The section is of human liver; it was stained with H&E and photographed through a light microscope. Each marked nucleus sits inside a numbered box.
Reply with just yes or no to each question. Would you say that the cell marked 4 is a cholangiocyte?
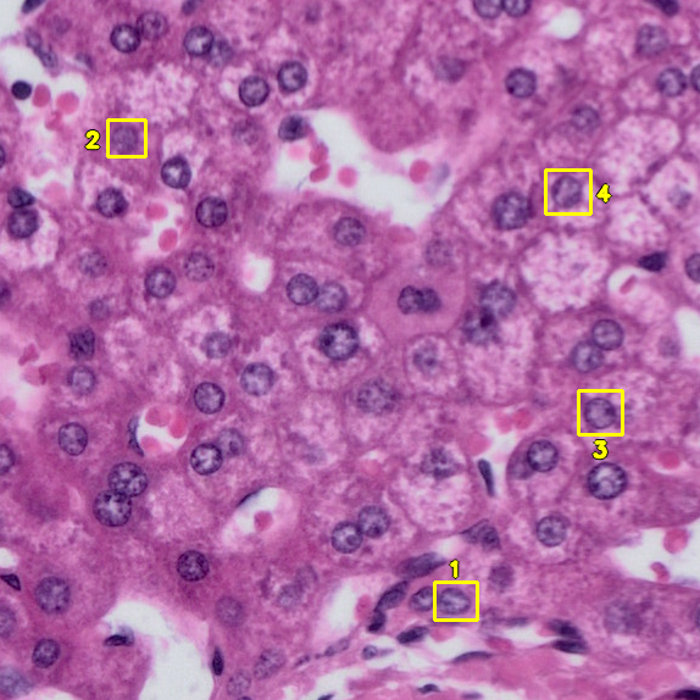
no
